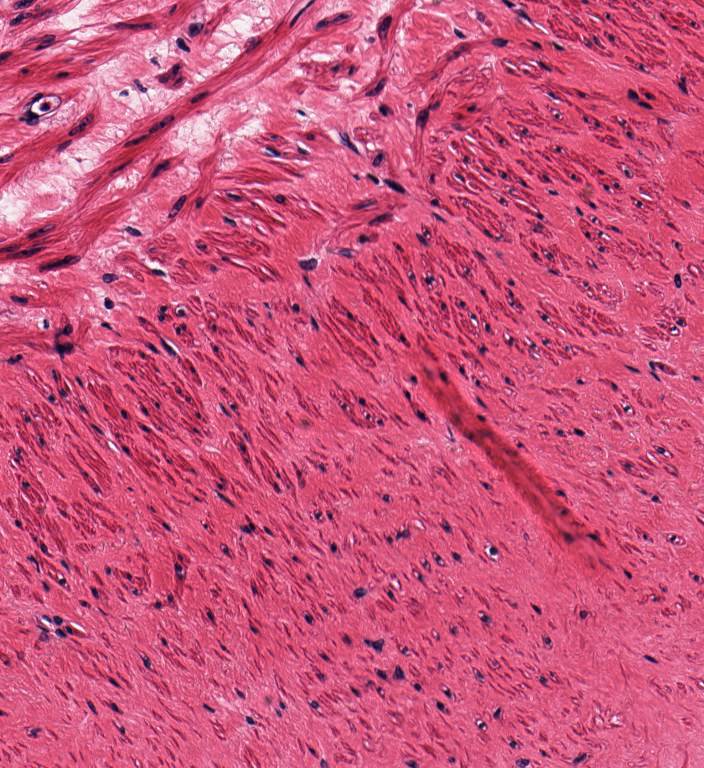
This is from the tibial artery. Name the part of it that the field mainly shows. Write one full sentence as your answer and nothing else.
The tissue component on view in this section is named tunica media.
